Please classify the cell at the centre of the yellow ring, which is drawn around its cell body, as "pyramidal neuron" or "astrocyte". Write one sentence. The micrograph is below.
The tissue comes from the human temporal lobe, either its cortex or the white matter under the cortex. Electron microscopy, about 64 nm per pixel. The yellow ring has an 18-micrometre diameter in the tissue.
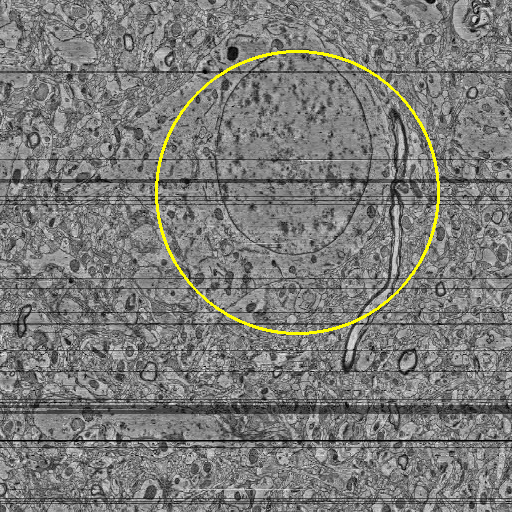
The cell at the ring's centre is classified as a pyramidal neuron.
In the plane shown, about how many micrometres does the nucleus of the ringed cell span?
The nucleus works out at approximately 13 by 10 micrometres in this plane.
